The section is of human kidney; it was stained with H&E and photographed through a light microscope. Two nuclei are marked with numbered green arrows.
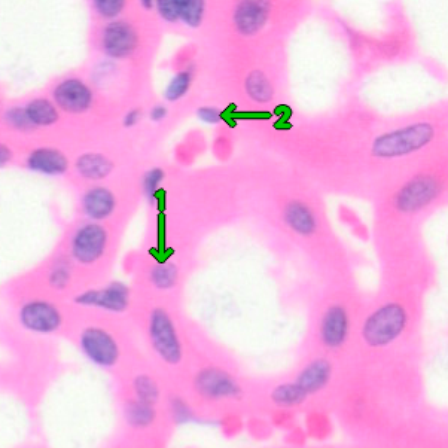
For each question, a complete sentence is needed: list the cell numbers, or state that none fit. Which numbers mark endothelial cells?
Only at number 2 is there an endothelial cell.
